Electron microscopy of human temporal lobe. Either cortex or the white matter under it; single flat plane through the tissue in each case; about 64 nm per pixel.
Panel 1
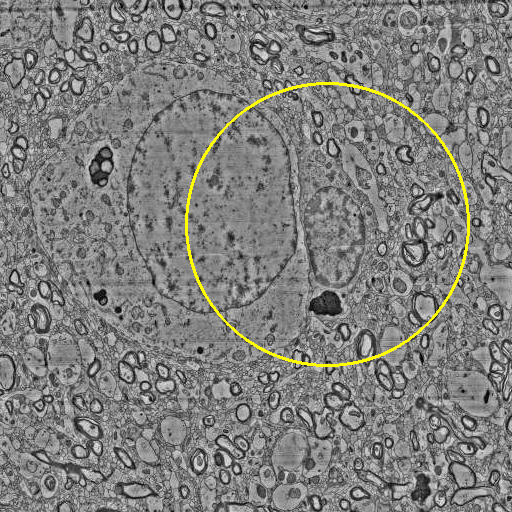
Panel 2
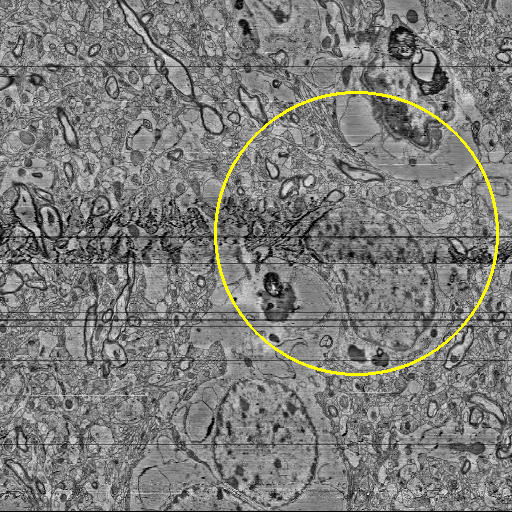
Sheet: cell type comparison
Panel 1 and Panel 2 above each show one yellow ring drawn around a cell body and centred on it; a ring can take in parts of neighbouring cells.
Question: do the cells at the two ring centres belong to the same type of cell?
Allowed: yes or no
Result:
no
